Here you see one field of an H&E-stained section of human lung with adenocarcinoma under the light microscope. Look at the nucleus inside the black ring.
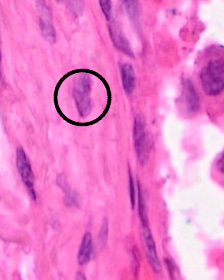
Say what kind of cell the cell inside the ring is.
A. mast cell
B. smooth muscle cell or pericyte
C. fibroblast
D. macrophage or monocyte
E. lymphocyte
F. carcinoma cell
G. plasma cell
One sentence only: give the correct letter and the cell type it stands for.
Option C is correct in stating that the cell inside the ring is a fibroblast.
